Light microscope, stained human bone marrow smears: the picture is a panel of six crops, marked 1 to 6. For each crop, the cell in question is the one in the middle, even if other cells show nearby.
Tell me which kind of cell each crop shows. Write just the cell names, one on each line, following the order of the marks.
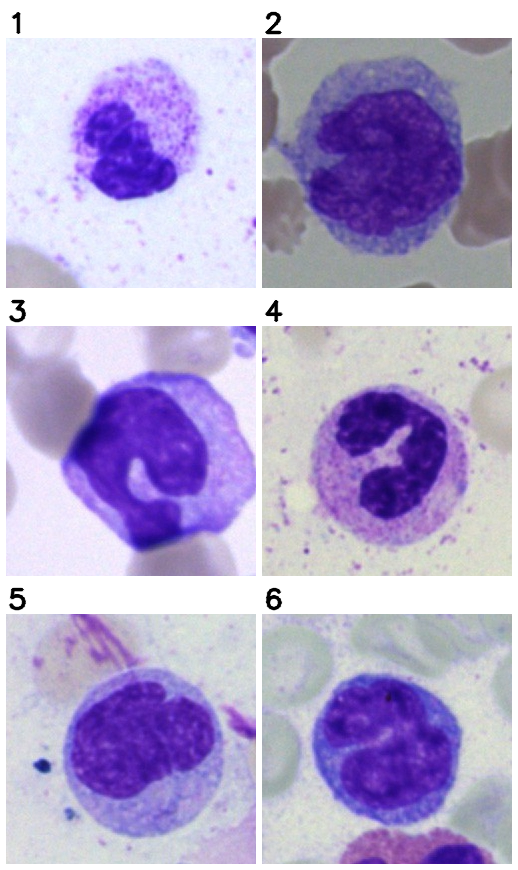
segmented neutrophil
monocyte
monocyte
segmented neutrophil
monocyte
monocyte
